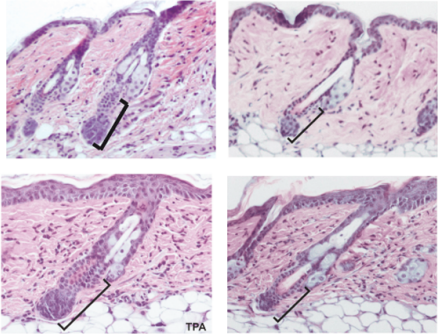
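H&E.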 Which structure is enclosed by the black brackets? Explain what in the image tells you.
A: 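Each bracket runs along a hair follicle from its deep bulb upward. The upper end of each bracket lies near a cluster of pale, vacuolated cells beside the follicle.
Answer: distance between the dermal papilla and the sebaceous gland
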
